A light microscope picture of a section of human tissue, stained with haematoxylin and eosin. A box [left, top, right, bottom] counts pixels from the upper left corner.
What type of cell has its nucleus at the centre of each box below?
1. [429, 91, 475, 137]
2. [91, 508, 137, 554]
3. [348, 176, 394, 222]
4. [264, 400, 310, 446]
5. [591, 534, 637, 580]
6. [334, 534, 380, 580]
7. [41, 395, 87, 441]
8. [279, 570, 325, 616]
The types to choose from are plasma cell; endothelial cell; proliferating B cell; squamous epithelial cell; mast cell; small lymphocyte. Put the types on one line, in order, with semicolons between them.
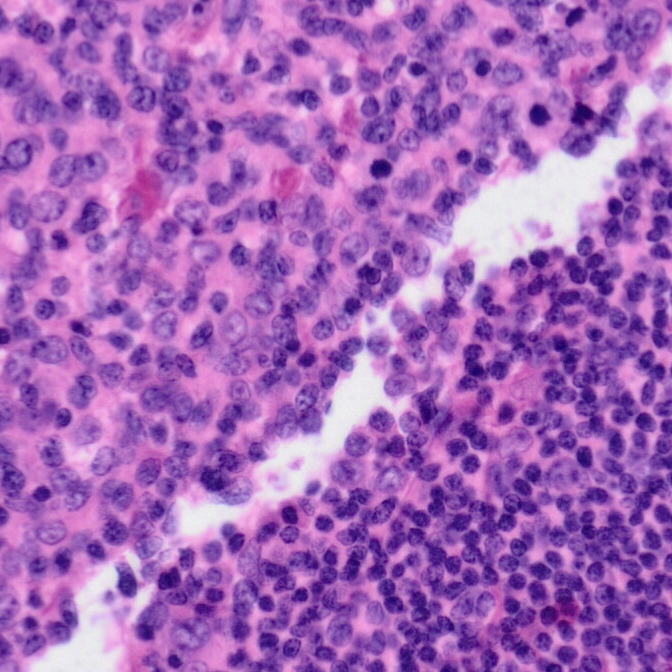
proliferating B cell; proliferating B cell; proliferating B cell; proliferating B cell; small lymphocyte; small lymphocyte; proliferating B cell; small lymphocyte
